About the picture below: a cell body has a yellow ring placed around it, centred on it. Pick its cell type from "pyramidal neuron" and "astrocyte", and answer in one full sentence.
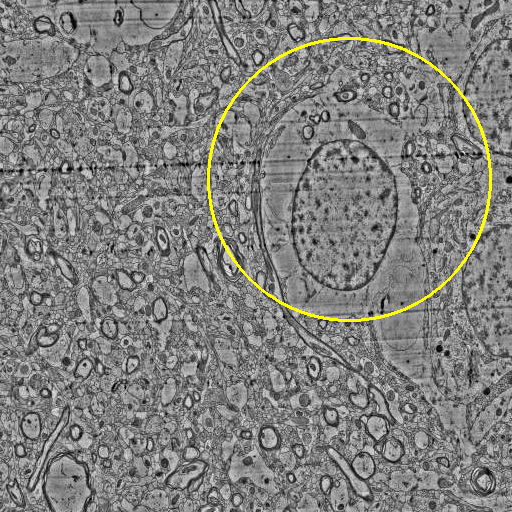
In the picture, an astrocyte is the cell sitting at the centre of the yellow ring.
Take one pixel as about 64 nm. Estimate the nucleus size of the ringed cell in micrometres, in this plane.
The nucleus comes to roughly 10 by 7 micrometres in this plane.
